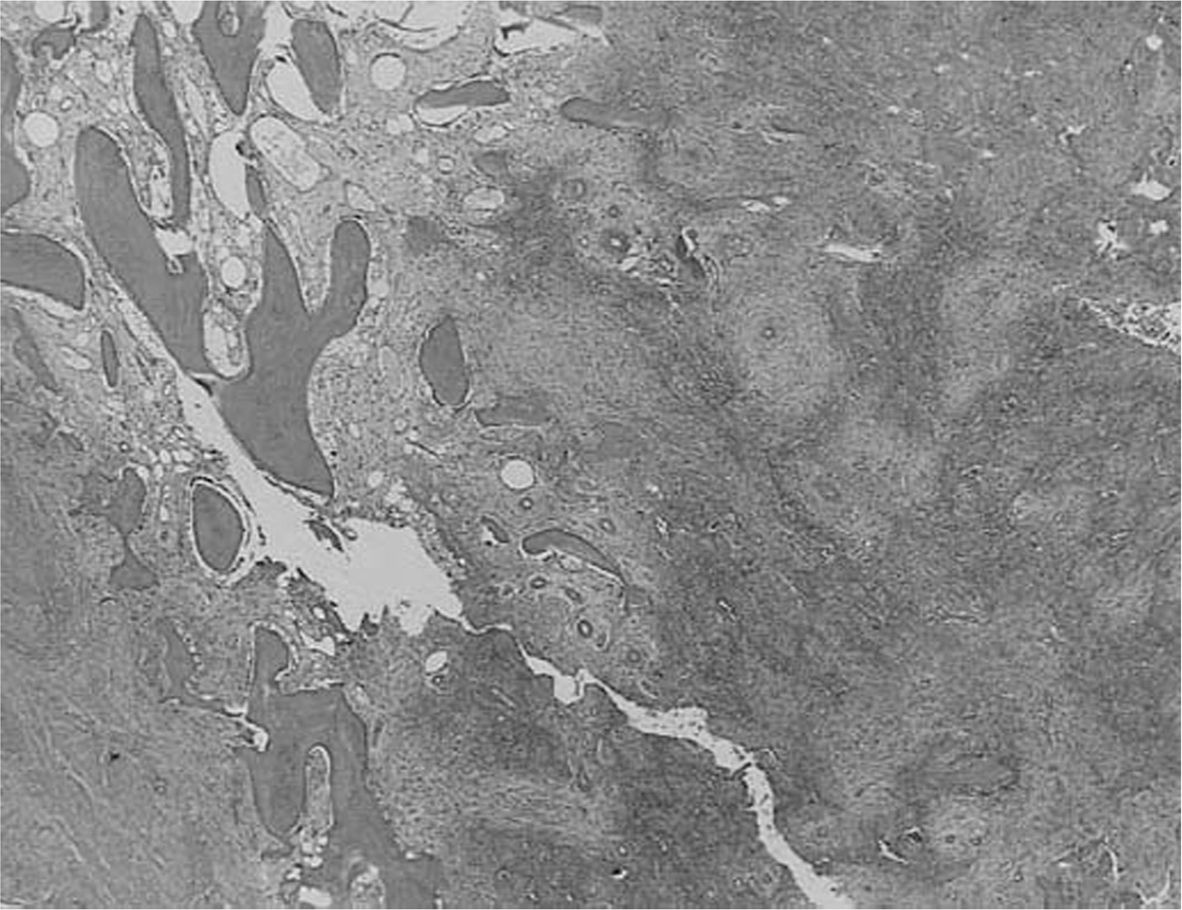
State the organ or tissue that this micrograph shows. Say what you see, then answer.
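Immature fibroblastic tissue. Much of the right half is filled by dense, uniformly cellular tissue with no trabeculae. The cellular tissue forms vague swirling and fascicle-like arrangements.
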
